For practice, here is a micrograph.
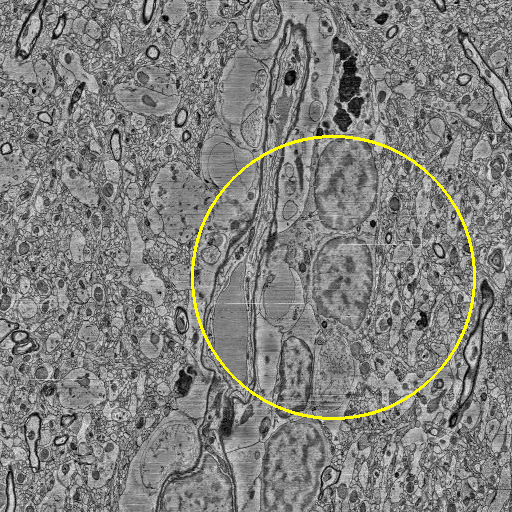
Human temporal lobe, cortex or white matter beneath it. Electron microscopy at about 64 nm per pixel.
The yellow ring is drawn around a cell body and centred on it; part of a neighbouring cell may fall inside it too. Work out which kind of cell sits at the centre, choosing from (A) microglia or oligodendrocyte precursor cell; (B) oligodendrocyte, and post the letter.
B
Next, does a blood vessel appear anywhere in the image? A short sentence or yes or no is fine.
Yes, a blood vessel shows in the picture.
